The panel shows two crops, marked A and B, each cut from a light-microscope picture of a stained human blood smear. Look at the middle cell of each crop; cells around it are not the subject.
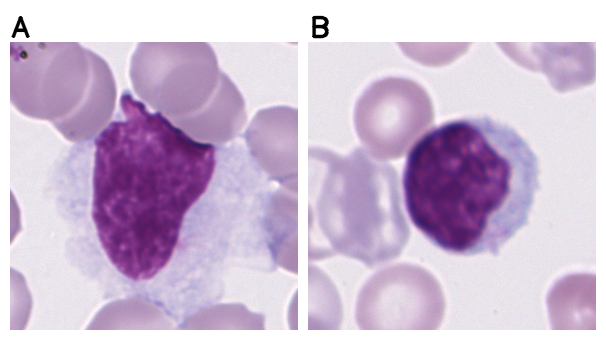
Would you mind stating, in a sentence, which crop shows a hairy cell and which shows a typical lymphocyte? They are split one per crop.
Crop A is to be read as a hairy cell and crop B as a typical lymphocyte.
